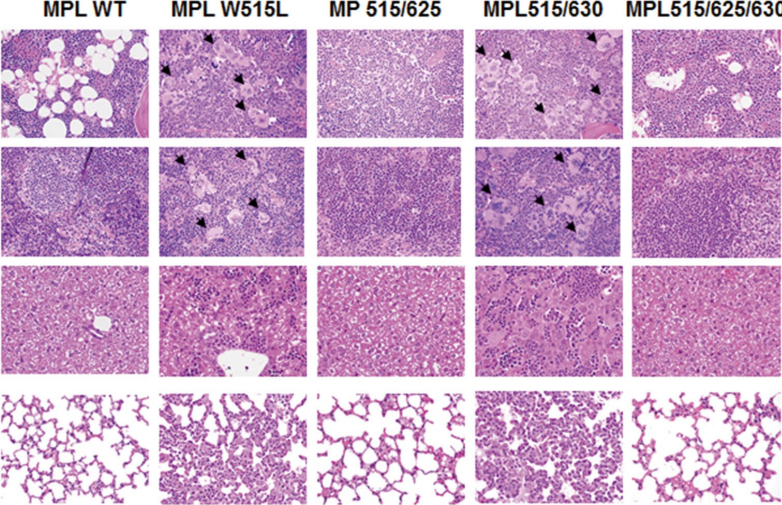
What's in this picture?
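This grid shows sections of bone marrow, spleen, liver and lung stained pink and purple, with several images of marrow and spleen packed with small dark-nucleated blood-forming cells. Scattered among them, and in some images gathered in clusters, are very large cells with abundant pink cytoplasm and large nuclei; these are megakaryocytes, picked out by black arrows. In one marrow image the space is partly taken by round empty fat spaces, while in others the marrow is filled with cells and hardly any fat remains. Some lung images show open thin-walled alveoli, whereas others look crowded, with thickened walls full of cells.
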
